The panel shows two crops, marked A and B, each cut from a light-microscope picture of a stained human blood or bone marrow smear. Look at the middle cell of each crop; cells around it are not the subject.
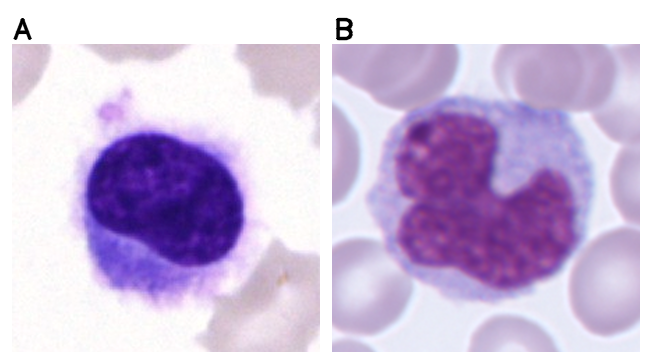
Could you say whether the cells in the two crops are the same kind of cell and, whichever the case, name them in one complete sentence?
No, crop A and crop B show a hairy cell and a monocyte respectively.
